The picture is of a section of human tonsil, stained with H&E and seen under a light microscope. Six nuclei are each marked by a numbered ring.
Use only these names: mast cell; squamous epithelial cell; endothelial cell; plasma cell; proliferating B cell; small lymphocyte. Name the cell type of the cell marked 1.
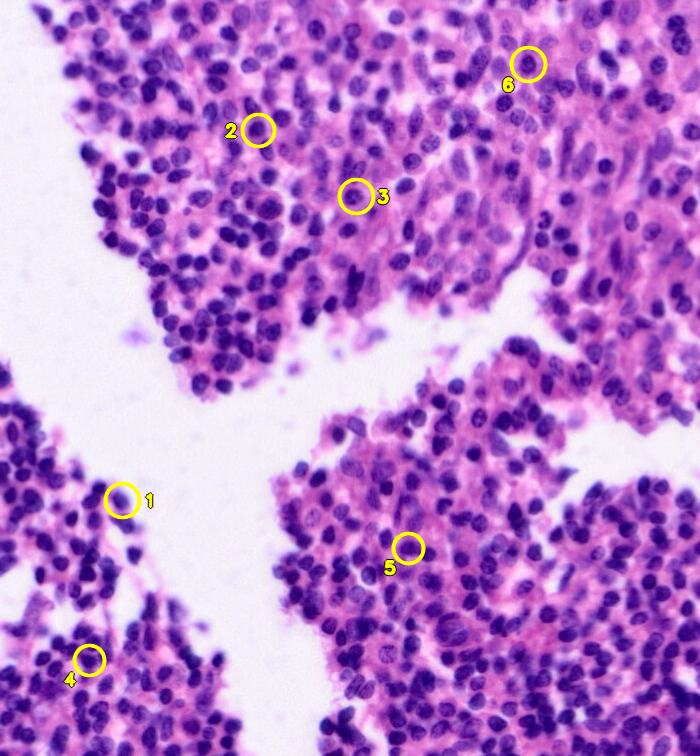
small lymphocyte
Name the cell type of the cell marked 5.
plasma cell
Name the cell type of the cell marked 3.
plasma cell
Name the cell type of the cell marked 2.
plasma cell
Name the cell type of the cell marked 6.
plasma cell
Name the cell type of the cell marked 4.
small lymphocyte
